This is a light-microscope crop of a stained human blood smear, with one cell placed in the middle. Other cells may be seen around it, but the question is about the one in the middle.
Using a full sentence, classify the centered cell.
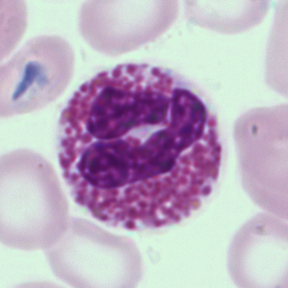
Located at the centre of the crop is an eosinophil.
